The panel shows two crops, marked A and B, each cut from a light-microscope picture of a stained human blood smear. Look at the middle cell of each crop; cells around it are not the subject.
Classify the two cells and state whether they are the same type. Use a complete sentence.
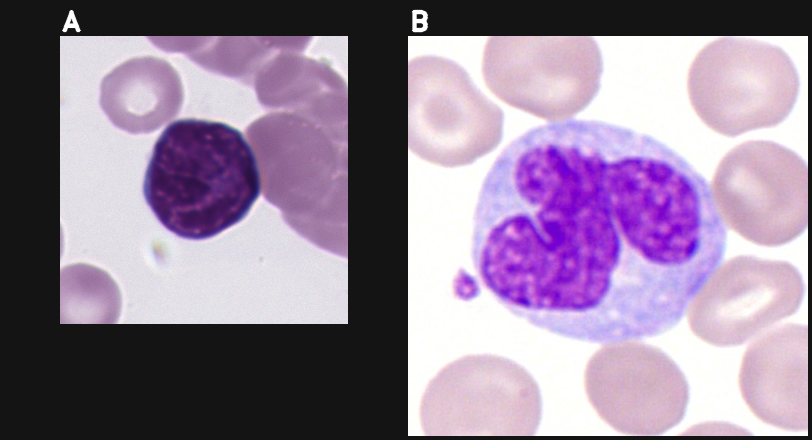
No, for crop A the cell is a blast, and for crop B it is a monocyte.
